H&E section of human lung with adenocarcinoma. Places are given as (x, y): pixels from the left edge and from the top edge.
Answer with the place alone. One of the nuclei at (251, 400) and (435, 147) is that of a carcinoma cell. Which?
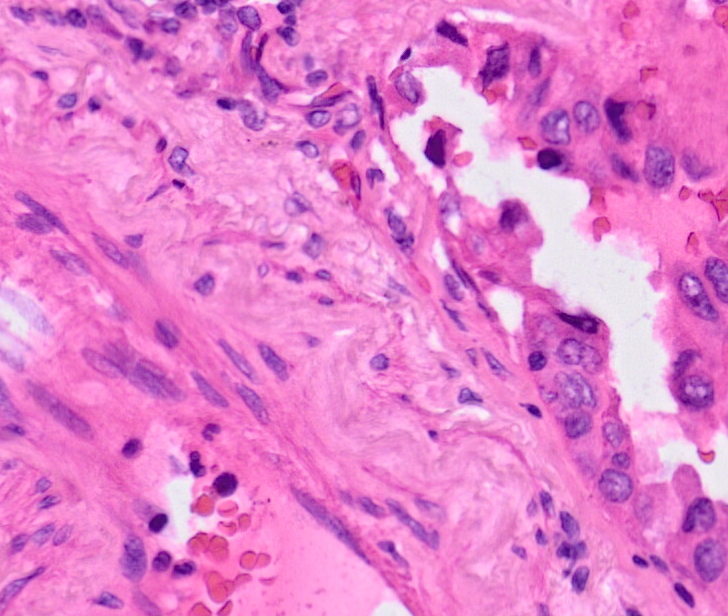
(435, 147)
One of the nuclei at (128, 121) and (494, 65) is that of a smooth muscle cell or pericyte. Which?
(128, 121)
